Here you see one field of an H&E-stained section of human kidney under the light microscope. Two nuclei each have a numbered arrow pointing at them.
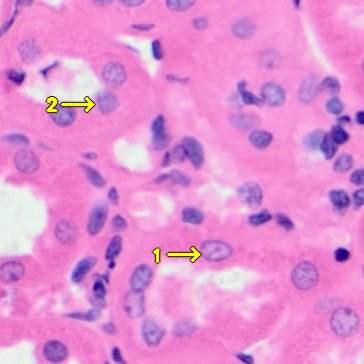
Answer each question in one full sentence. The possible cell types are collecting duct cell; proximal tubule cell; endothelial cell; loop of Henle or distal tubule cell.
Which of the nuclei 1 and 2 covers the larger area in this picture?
Nucleus 1 is the larger one, covering about 1.5 times the area of nucleus 2.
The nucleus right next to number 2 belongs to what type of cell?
Number 2 lies closest to the nucleus of a loop of Henle or distal tubule cell.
